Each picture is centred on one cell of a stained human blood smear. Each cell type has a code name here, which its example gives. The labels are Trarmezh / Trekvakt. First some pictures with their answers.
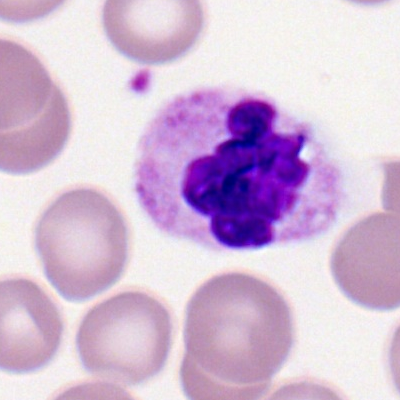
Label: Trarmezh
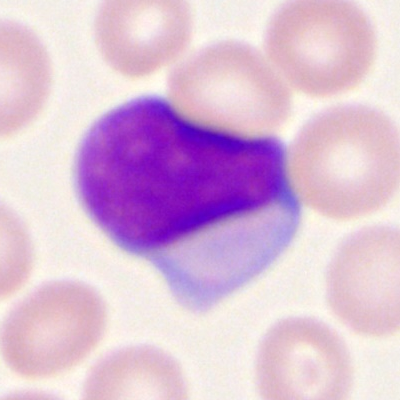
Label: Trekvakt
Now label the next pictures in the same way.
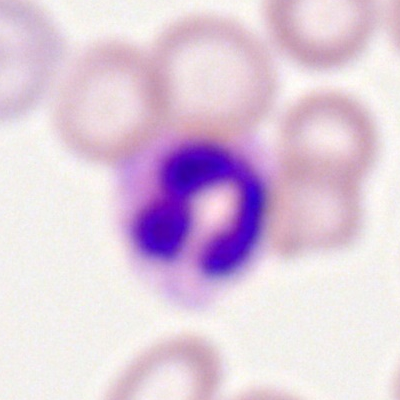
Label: Trarmezh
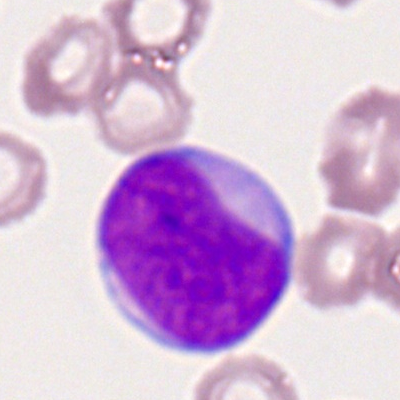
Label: Trekvakt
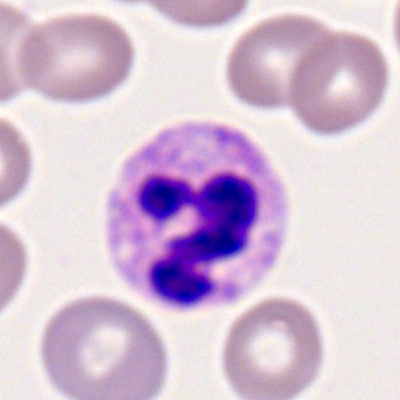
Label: Trarmezh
